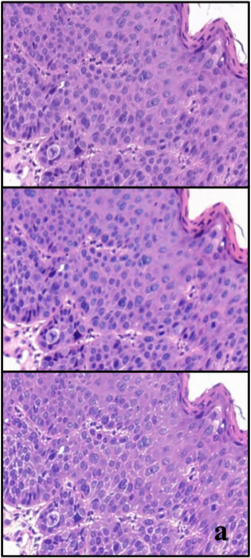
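Stratified squamous epithelium with crowded cells whose nuclei are large relative to their cytoplasm. The nuclei are oval to round, purple and fairly dark. They are closely packed, with little pink cytoplasm between them. A thin layer of flattened, eosinophilic keratin lies at the upper right.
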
